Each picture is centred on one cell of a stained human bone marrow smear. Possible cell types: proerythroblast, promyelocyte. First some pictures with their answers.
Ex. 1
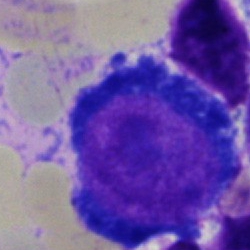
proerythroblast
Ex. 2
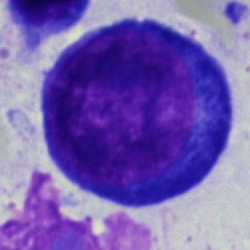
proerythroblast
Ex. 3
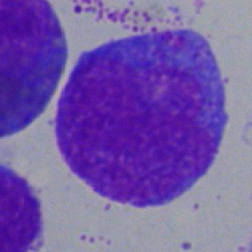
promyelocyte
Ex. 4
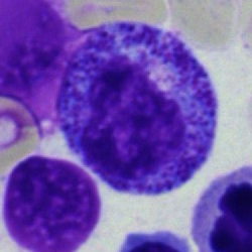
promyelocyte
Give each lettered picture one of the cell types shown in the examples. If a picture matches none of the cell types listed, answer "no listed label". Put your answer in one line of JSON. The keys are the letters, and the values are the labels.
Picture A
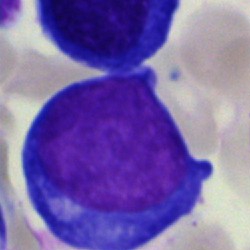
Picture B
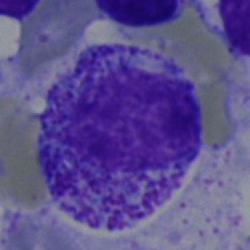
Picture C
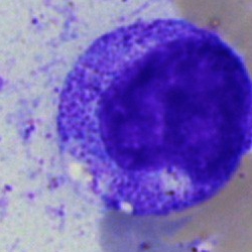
{"A": "proerythroblast", "B": "promyelocyte", "C": "no listed label"}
